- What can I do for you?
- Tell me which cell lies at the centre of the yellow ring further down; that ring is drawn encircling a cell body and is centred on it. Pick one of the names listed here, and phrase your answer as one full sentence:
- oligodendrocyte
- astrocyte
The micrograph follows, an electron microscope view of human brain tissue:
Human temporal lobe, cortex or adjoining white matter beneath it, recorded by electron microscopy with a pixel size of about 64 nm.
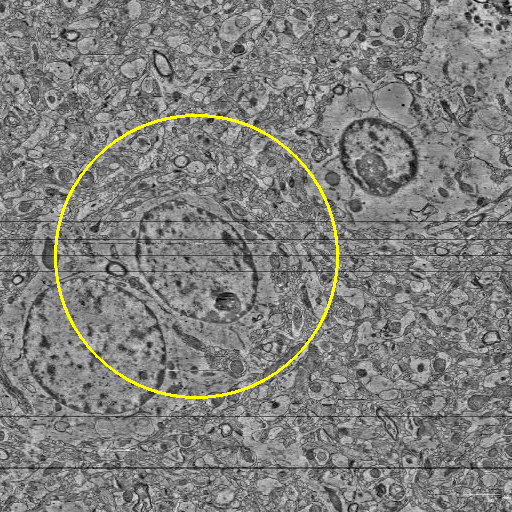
The cell whose body lies at the centre of the yellow ring is an astrocyte.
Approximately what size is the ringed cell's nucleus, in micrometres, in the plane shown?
In this plane, about 9 micrometres in length and 7 in width.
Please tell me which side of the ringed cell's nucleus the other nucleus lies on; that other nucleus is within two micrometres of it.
The other nucleus is positioned to the lower left of it.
